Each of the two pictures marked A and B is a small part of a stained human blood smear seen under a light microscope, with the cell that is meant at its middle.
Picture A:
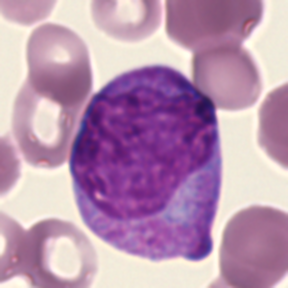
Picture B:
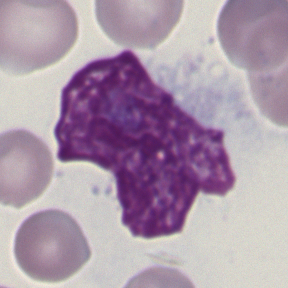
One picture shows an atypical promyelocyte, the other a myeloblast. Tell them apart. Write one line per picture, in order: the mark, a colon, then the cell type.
A: atypical promyelocyte
B: myeloblast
